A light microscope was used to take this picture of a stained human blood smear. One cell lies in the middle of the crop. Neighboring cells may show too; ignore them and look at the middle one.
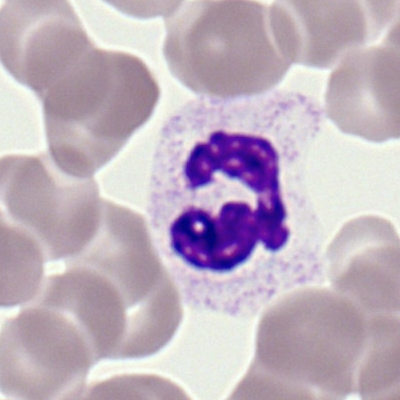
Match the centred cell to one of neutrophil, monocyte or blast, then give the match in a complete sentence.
At the center of the crop sits a neutrophil.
